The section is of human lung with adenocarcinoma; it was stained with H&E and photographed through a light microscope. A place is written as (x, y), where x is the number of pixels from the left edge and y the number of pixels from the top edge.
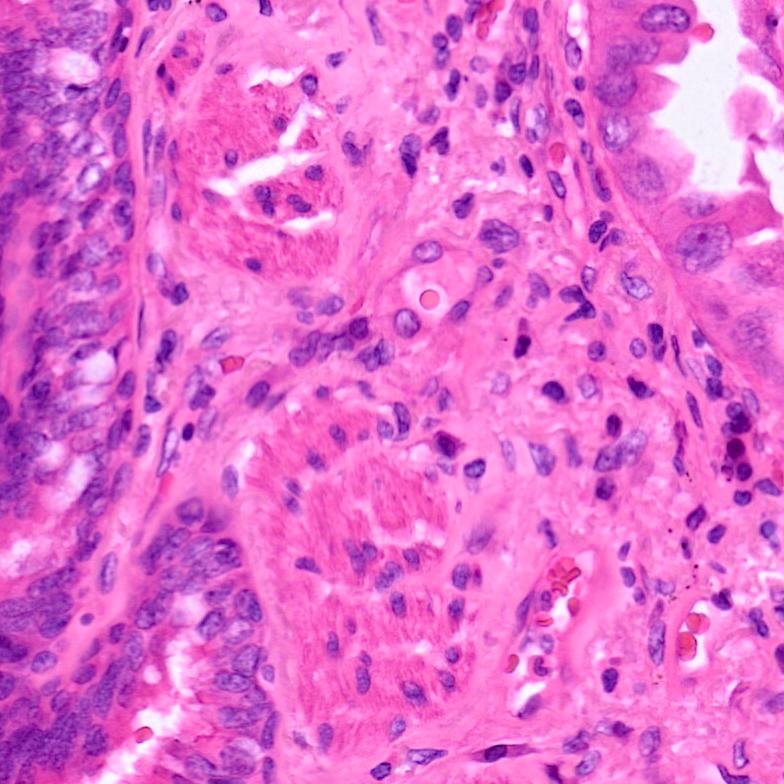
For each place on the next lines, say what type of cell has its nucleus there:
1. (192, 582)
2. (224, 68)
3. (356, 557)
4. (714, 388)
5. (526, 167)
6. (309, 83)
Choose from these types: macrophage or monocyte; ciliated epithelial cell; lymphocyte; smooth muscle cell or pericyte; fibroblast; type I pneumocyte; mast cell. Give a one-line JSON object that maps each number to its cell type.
{"1": "ciliated epithelial cell", "2": "smooth muscle cell or pericyte", "3": "smooth muscle cell or pericyte", "4": "lymphocyte", "5": "lymphocyte", "6": "mast cell"}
